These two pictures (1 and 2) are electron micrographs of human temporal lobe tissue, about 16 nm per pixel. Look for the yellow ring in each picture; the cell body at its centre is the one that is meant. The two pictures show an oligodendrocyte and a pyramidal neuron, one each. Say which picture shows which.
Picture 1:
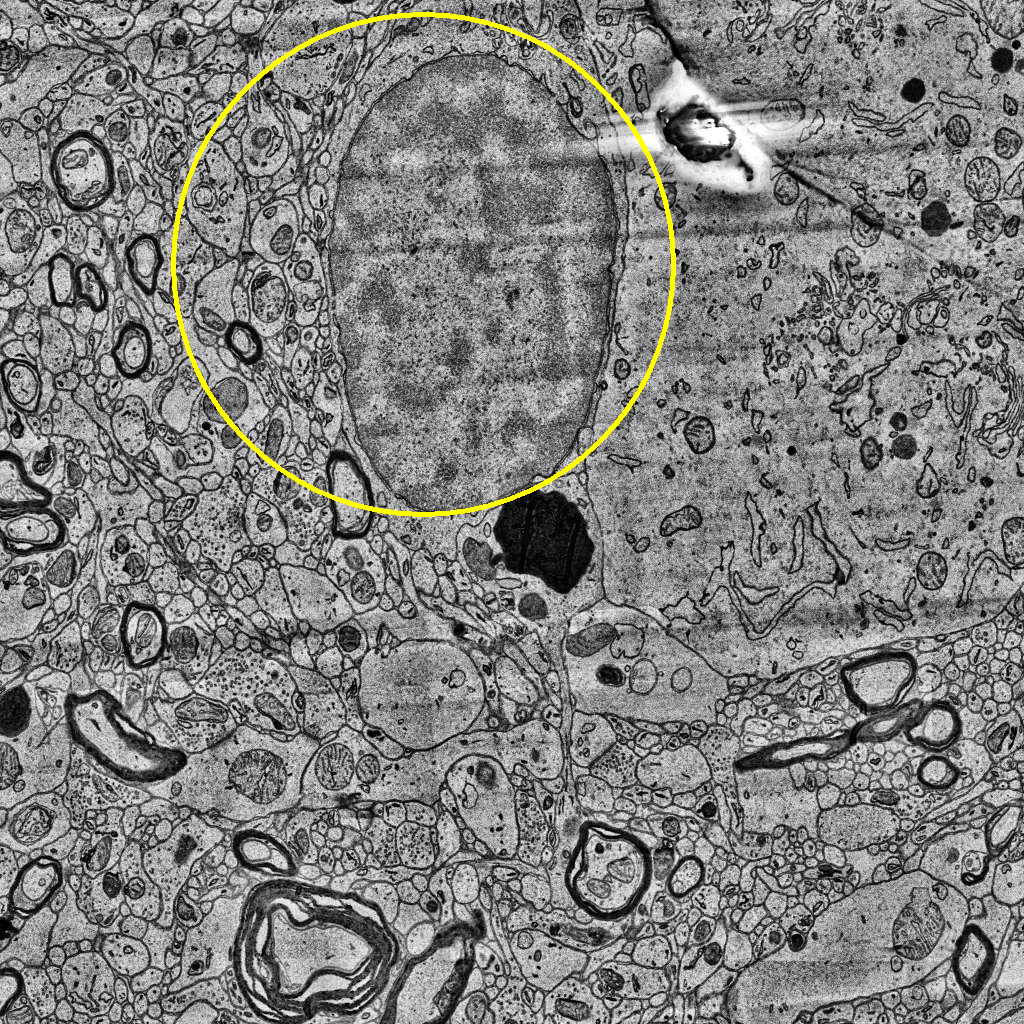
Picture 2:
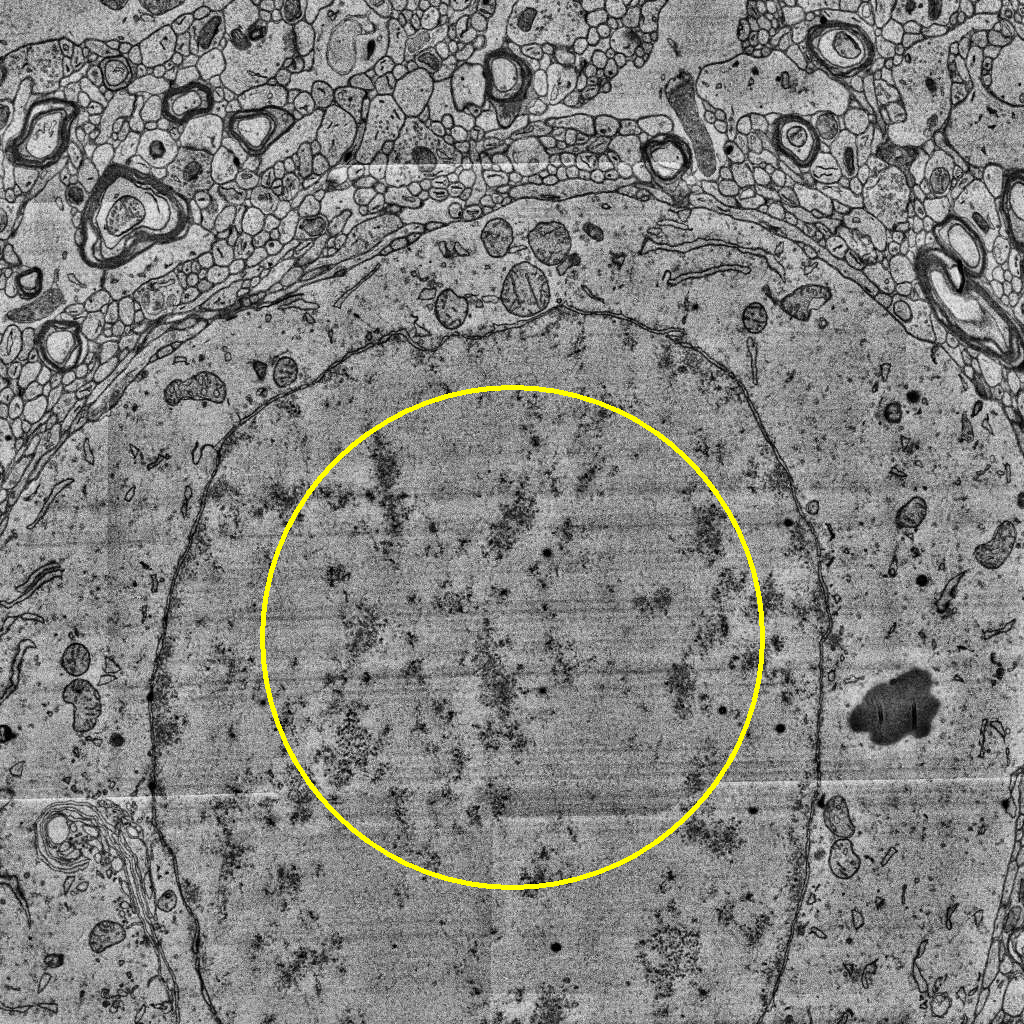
The cell in picture 1 is an oligodendrocyte, and the one in picture 2 is a pyramidal neuron.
